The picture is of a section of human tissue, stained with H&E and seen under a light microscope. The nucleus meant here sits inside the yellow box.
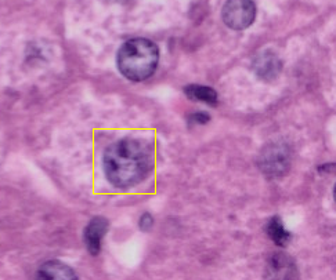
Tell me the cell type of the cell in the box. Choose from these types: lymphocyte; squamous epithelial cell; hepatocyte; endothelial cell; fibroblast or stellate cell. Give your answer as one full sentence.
In the stained section, the cell in the box is a hepatocyte.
